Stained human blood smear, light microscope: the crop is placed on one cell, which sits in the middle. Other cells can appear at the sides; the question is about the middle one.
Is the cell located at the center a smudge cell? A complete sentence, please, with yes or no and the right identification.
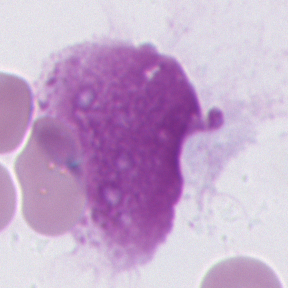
Yes, what sits in the middle of the crop is a smudge cell.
